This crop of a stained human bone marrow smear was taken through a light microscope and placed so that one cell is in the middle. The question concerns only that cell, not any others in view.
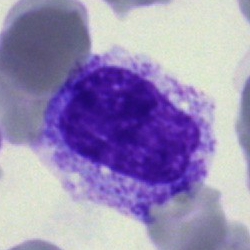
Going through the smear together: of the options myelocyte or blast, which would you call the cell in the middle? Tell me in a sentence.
Within this crop, a myelocyte occupies the central position.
